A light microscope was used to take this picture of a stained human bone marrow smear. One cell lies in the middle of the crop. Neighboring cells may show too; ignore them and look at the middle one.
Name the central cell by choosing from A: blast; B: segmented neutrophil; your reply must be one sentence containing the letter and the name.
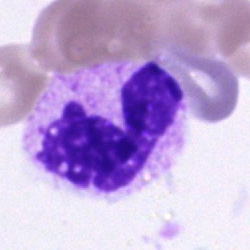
The correct option here is B; the middle cell is a segmented neutrophil.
